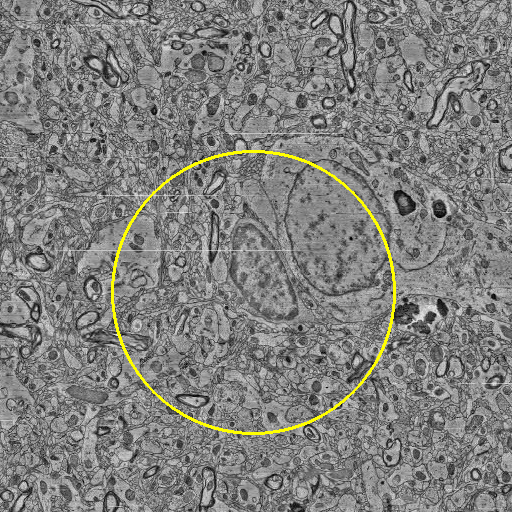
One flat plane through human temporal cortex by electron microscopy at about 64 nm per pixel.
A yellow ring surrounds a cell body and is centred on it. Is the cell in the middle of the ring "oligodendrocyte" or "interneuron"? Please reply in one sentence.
The ring is centred on an oligodendrocyte.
